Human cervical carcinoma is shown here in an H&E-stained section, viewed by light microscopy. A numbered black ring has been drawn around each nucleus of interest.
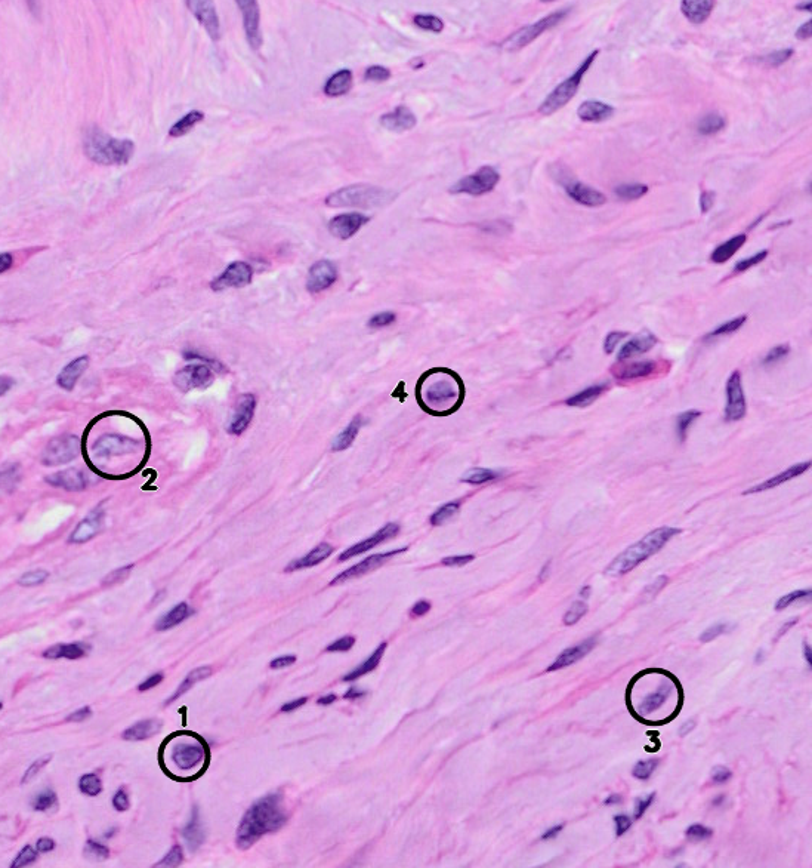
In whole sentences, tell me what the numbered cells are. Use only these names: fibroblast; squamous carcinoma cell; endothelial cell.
Cells 1, 3 and 4 are fibroblasts. Cell 2 is an endothelial cell.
